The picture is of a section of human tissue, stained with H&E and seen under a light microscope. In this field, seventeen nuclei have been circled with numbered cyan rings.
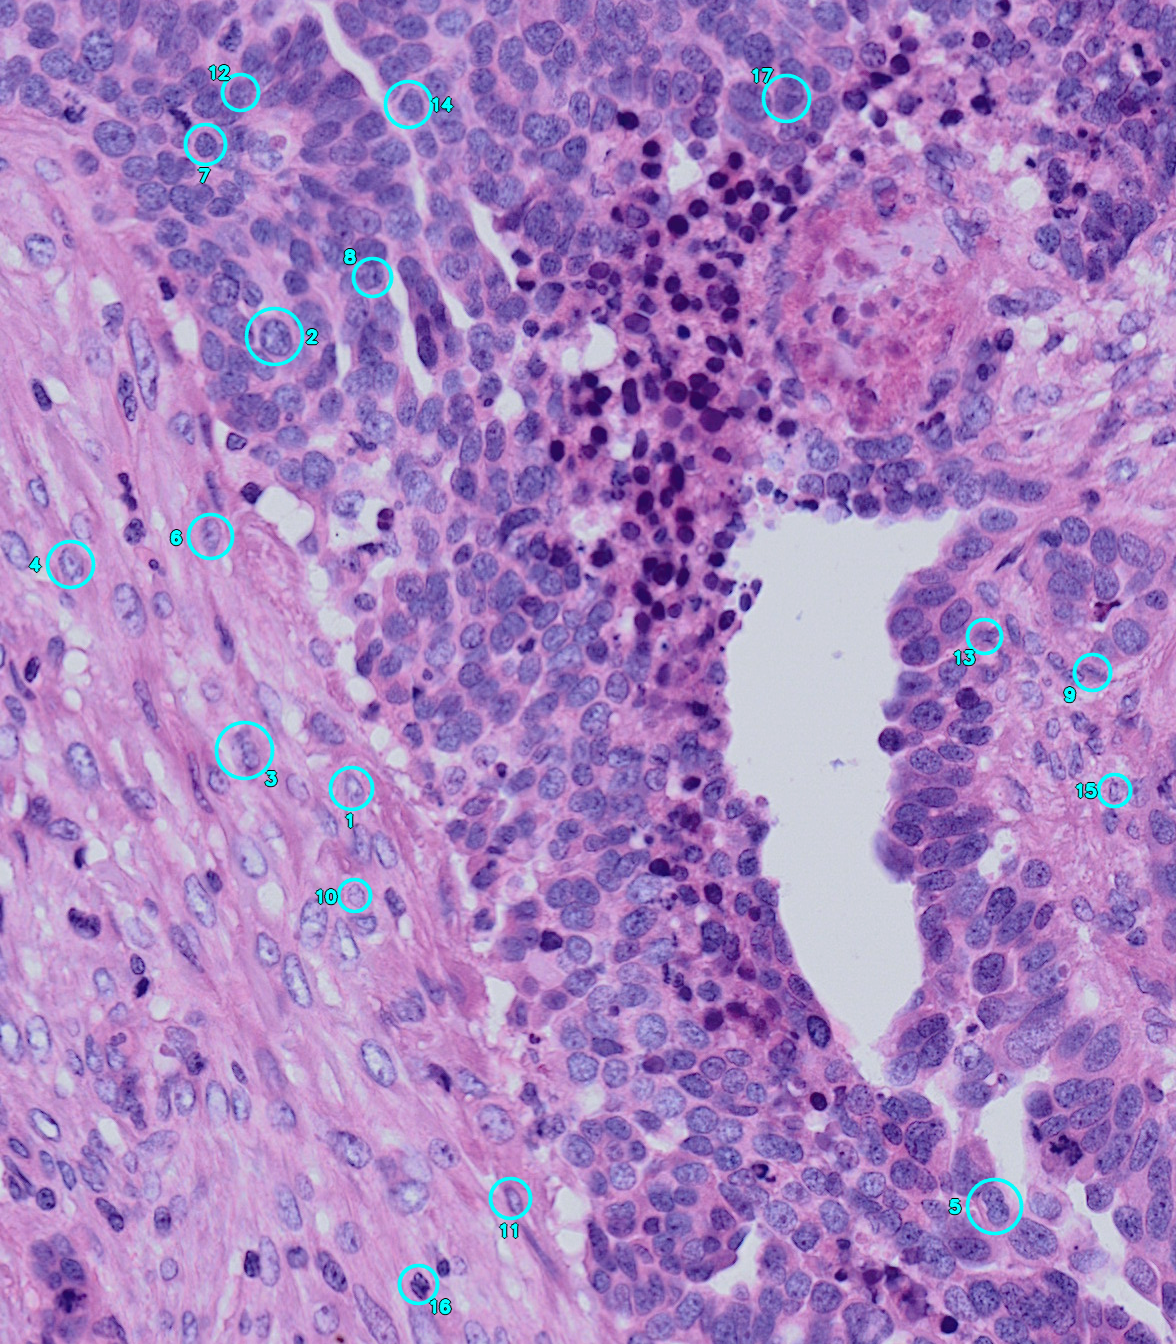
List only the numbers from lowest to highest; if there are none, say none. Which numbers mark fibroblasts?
1, 3, 4, 6, 9, 10, 11, 13, 15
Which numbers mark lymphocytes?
16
